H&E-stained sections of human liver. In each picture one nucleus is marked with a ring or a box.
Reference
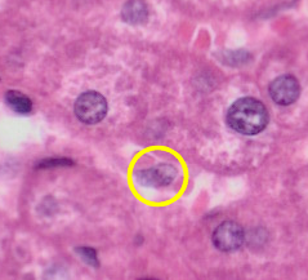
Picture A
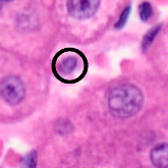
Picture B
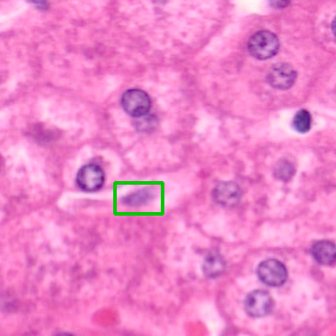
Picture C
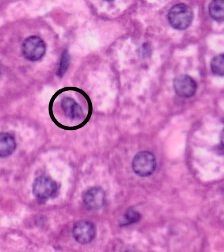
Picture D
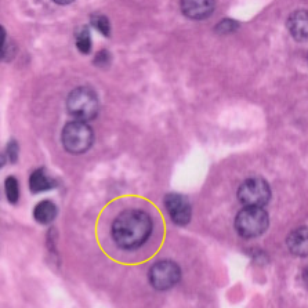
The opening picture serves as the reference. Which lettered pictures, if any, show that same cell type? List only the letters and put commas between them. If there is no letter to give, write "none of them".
A, B, C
